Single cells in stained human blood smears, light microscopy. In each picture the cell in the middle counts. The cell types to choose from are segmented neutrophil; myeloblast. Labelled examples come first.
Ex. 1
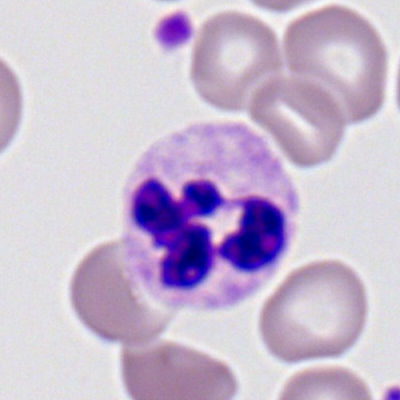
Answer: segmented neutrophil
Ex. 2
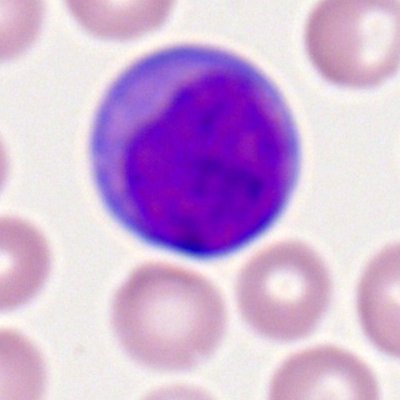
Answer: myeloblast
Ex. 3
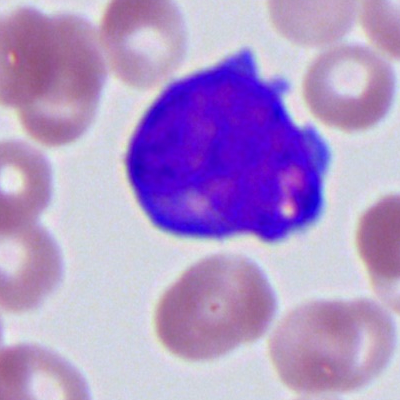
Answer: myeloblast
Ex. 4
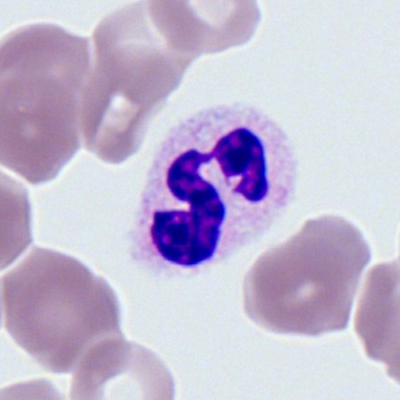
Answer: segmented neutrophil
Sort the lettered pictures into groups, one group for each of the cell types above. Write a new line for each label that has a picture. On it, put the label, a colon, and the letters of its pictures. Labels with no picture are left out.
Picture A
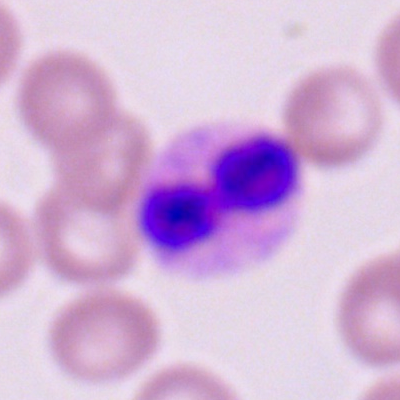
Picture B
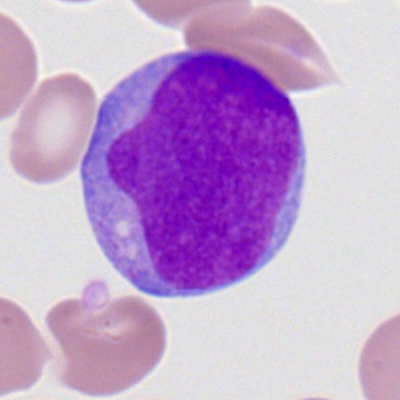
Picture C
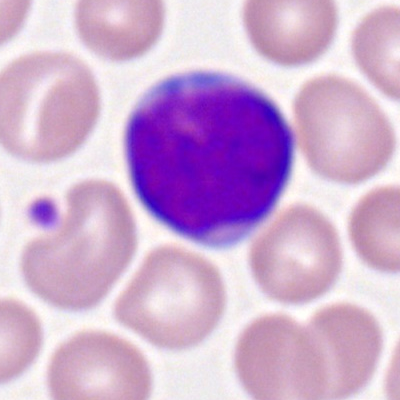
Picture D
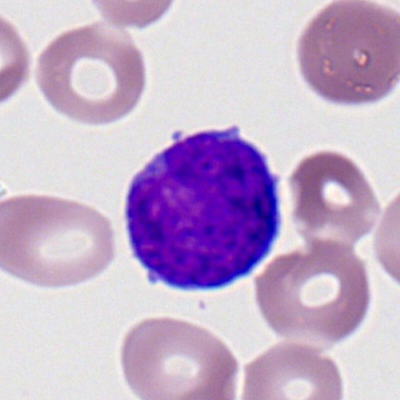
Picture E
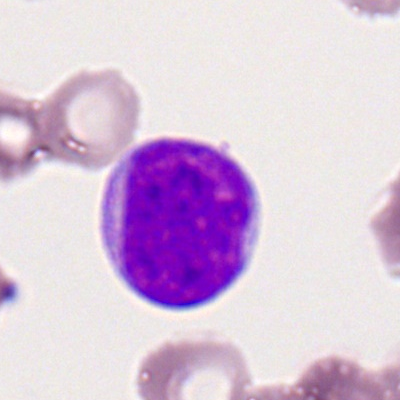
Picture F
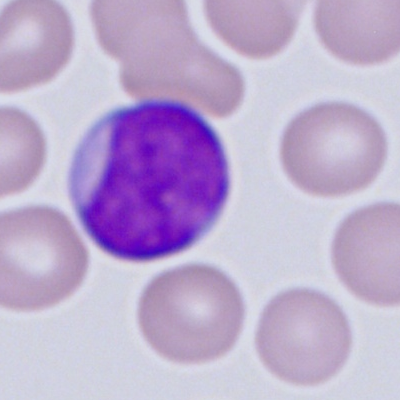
segmented neutrophil: A
myeloblast: B, C, D, E, F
